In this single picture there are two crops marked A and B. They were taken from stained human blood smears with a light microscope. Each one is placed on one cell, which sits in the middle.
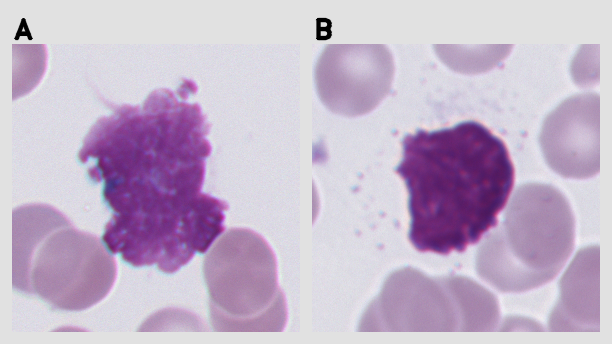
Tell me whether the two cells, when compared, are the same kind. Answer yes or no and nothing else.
yes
